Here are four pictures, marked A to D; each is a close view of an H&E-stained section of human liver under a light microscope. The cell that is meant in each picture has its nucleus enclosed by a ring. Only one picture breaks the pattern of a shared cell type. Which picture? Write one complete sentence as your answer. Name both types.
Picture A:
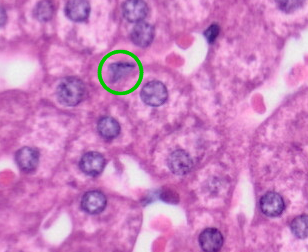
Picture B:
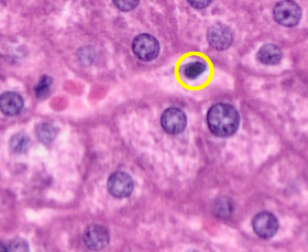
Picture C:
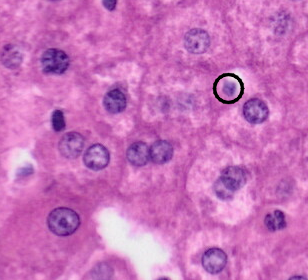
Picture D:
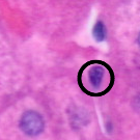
Picture A differs, because its cell is an endothelial cell and the rest are lymphocytes.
